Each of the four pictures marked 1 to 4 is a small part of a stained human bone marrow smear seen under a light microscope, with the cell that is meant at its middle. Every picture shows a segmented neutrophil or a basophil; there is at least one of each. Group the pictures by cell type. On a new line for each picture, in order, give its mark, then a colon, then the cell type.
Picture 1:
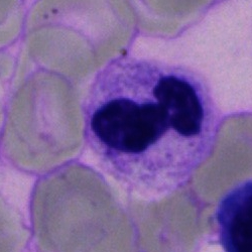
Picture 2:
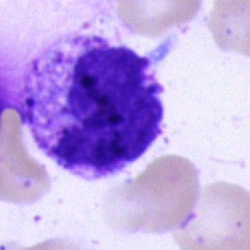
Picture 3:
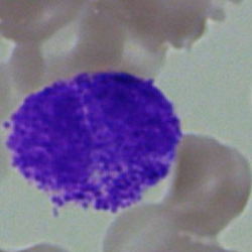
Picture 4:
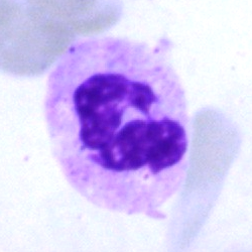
1: segmented neutrophil
2: basophil
3: basophil
4: segmented neutrophil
